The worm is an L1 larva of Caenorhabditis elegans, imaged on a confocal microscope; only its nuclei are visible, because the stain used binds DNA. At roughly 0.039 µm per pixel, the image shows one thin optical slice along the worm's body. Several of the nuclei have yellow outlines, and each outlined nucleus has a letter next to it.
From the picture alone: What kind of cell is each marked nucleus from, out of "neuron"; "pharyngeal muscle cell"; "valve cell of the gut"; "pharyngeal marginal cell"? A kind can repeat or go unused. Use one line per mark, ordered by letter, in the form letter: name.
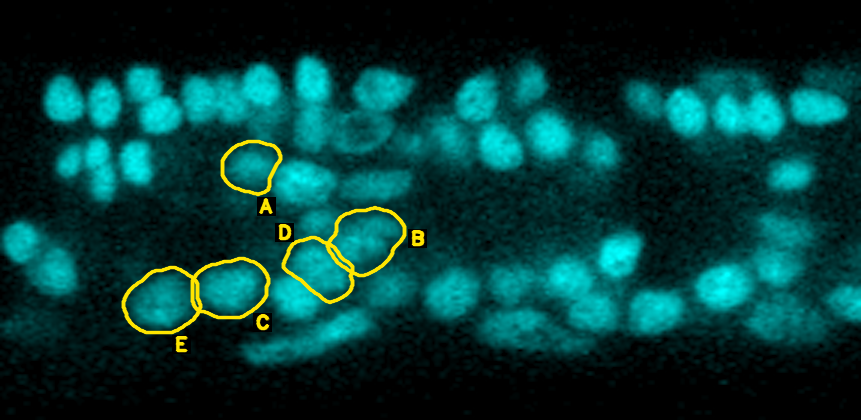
A: neuron
B: pharyngeal marginal cell
C: pharyngeal muscle cell
D: pharyngeal muscle cell
E: pharyngeal muscle cell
